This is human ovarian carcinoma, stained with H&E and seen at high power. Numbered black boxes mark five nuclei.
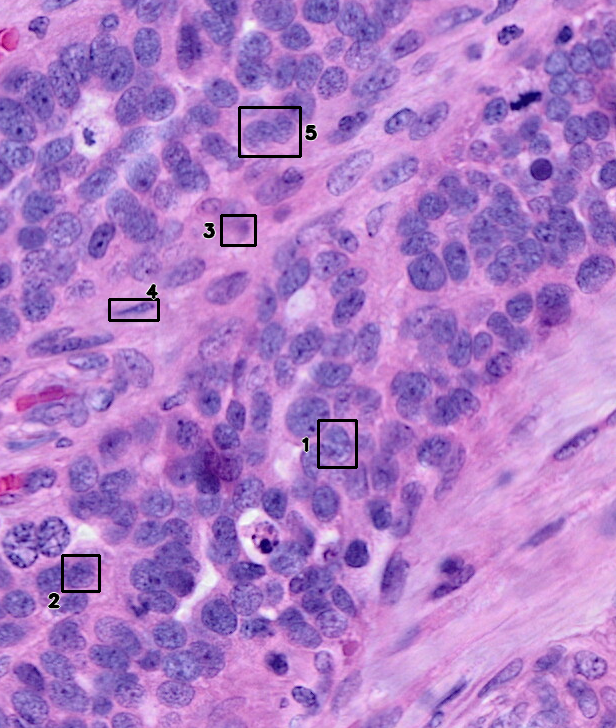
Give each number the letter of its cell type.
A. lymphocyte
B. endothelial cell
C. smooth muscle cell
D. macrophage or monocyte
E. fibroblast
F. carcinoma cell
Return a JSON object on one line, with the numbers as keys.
{"1": "F", "2": "F", "3": "E", "4": "E", "5": "F"}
